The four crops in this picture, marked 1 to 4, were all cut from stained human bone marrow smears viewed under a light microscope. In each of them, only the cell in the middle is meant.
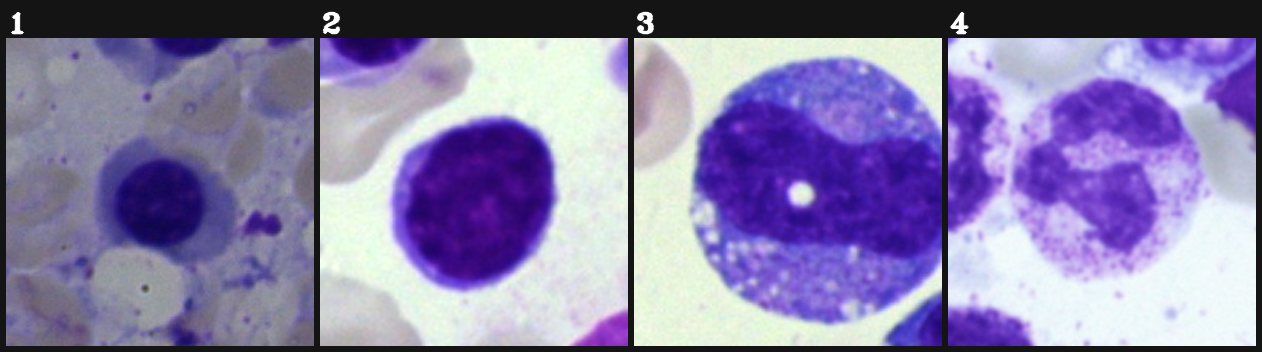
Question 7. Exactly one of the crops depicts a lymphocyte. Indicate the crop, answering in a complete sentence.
The one crop in the set with a lymphocyte is crop 2.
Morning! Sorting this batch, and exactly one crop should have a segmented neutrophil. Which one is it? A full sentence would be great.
Within this set, crop 4 is the one with a segmented neutrophil at its center.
